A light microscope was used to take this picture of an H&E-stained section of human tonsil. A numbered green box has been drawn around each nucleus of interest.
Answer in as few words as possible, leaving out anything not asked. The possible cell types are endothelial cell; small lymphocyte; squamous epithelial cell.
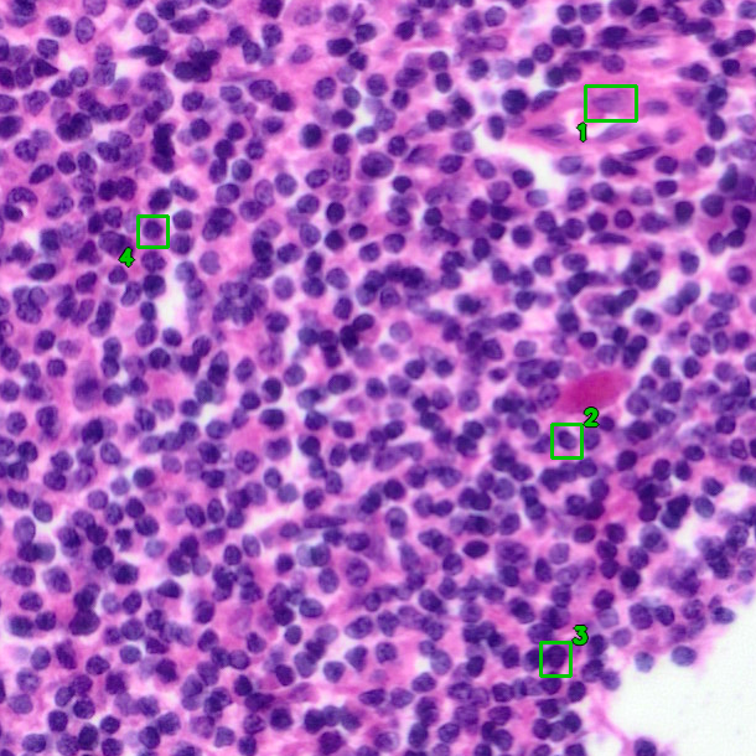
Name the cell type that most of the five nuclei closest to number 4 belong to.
small lymphocyte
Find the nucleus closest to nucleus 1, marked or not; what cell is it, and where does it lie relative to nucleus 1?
an endothelial cell; below nucleus 1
